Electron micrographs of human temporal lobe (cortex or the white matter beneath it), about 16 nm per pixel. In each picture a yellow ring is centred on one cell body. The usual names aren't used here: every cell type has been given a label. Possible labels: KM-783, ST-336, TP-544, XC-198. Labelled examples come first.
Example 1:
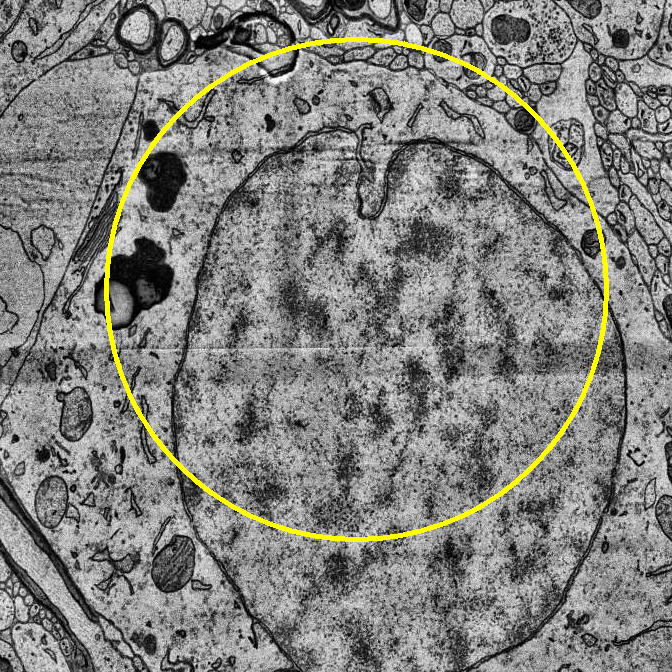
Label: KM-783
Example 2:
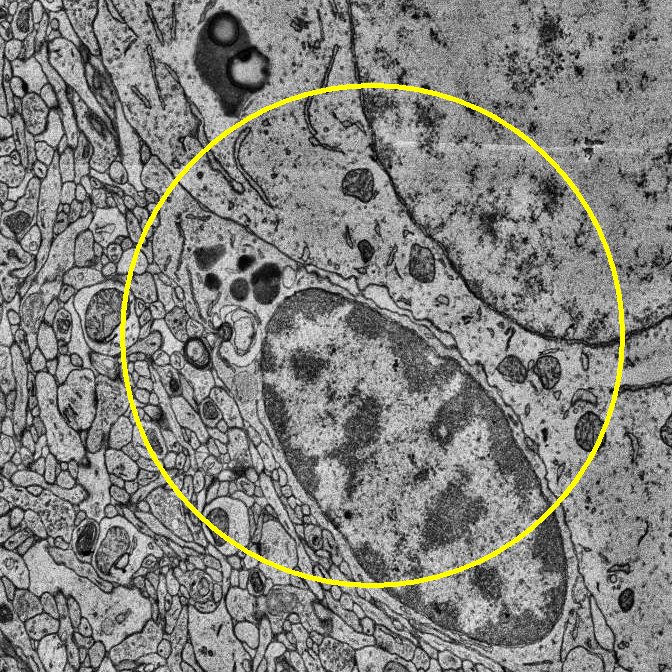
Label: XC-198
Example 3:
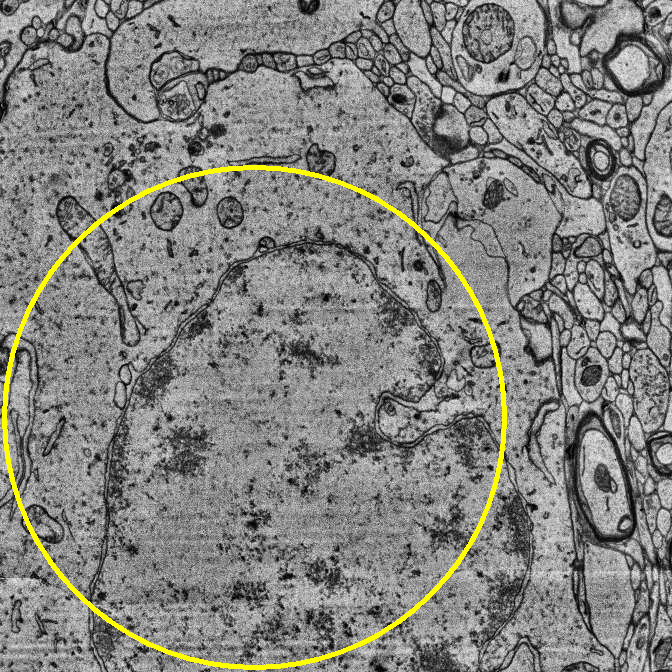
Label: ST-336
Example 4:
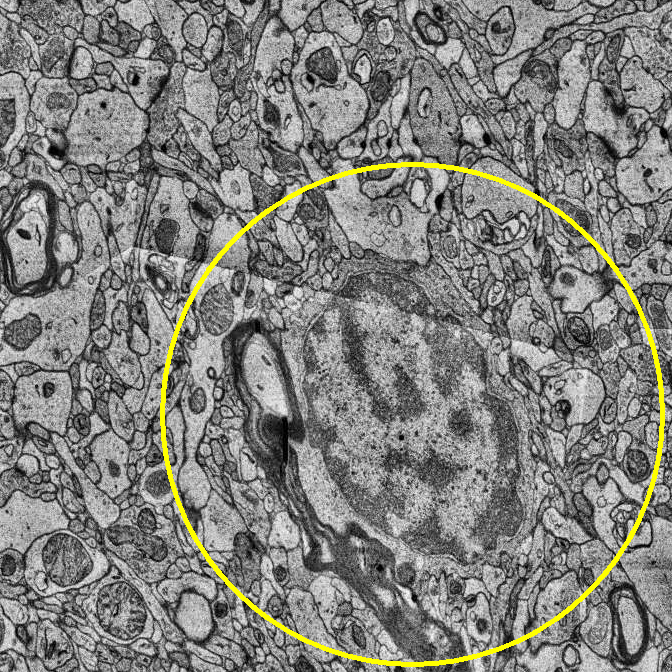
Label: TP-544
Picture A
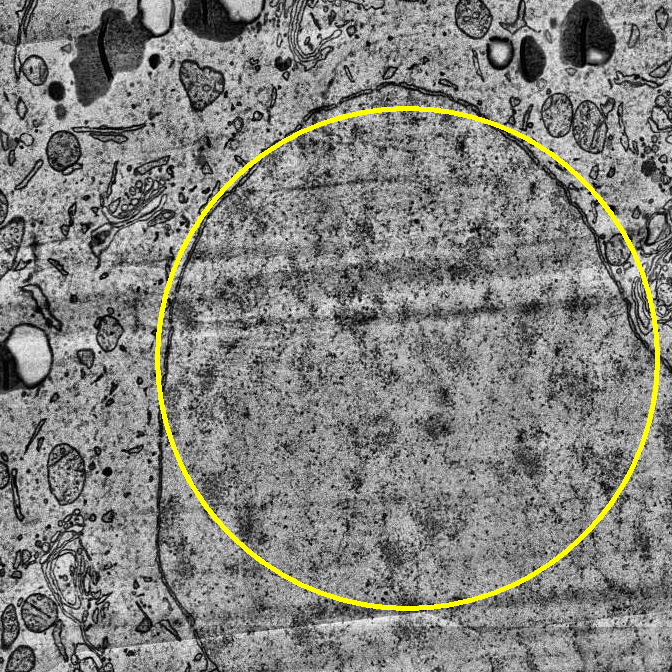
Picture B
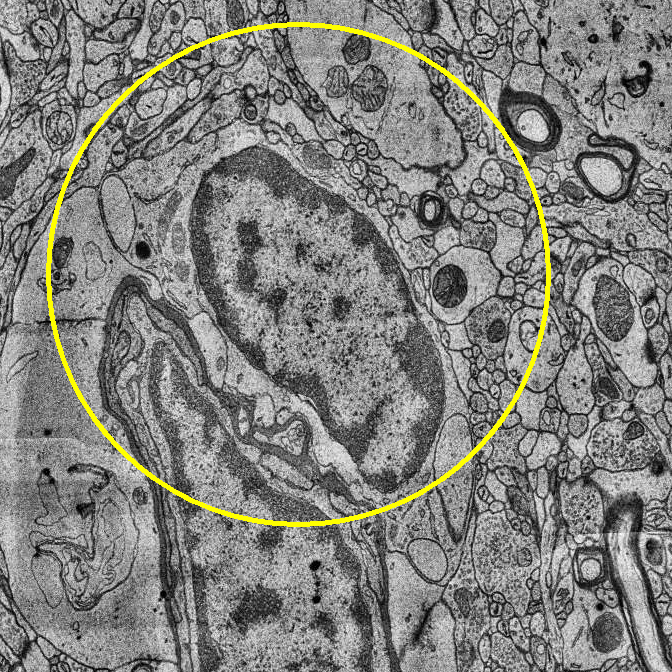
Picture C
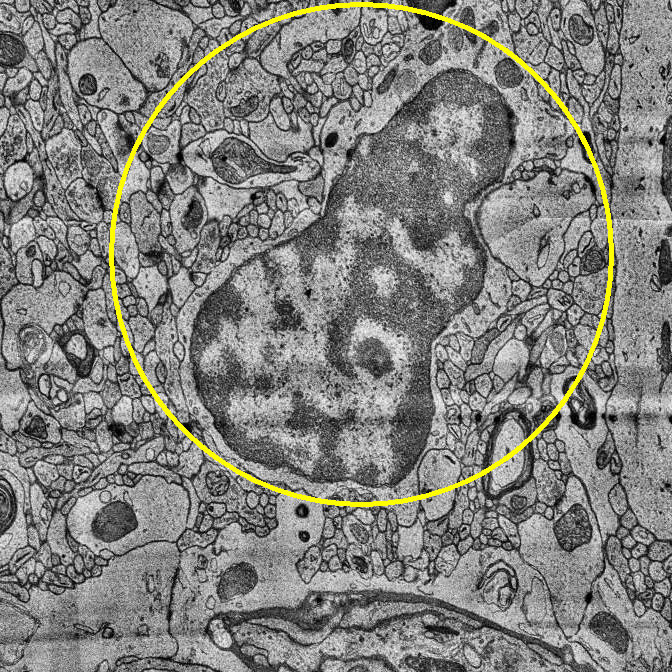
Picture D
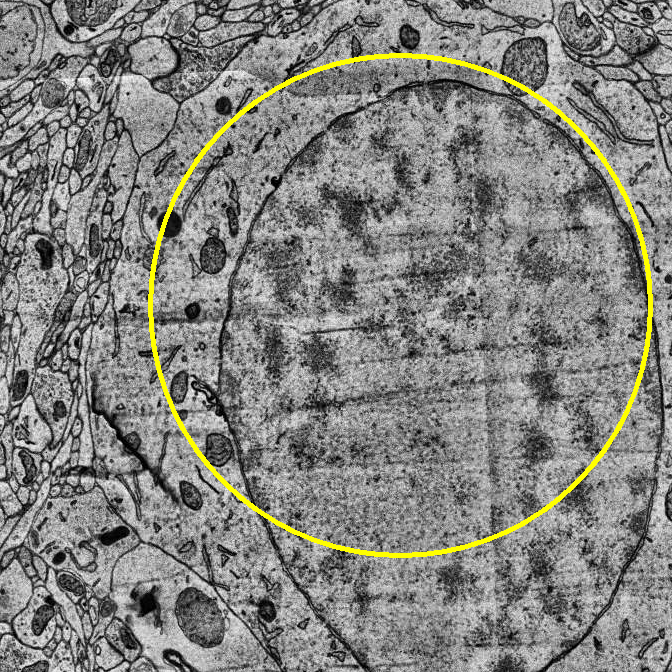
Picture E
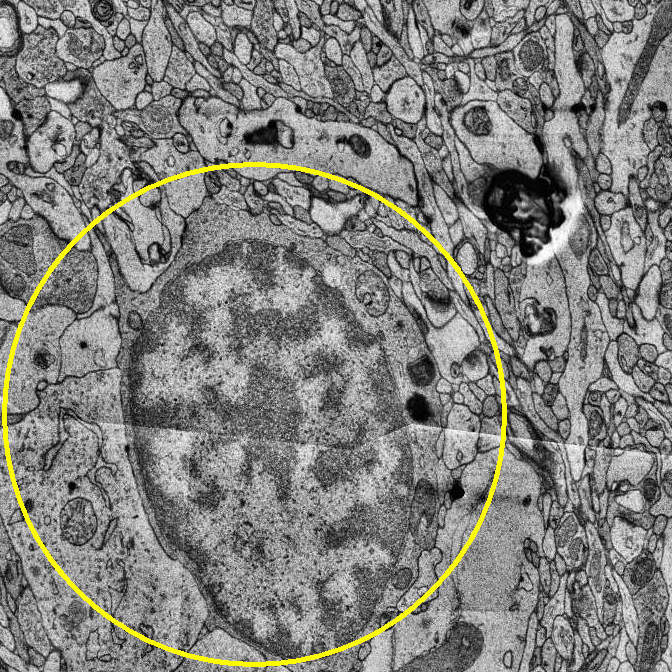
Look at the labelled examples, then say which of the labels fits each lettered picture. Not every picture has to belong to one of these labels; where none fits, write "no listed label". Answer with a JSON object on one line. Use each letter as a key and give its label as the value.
{"A": "KM-783", "B": "XC-198", "C": "XC-198", "D": "KM-783", "E": "TP-544"}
